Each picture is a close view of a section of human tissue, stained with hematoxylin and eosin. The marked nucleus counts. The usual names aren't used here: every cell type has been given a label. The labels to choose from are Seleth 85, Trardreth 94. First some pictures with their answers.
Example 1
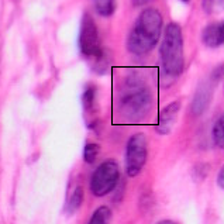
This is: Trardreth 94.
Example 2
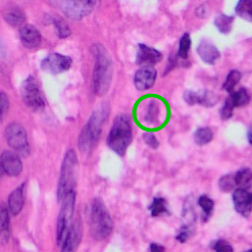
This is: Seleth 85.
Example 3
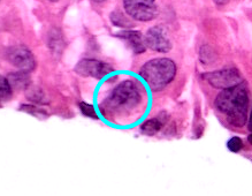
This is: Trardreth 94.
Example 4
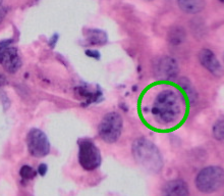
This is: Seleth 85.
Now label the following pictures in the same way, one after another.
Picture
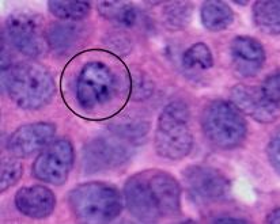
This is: Seleth 85.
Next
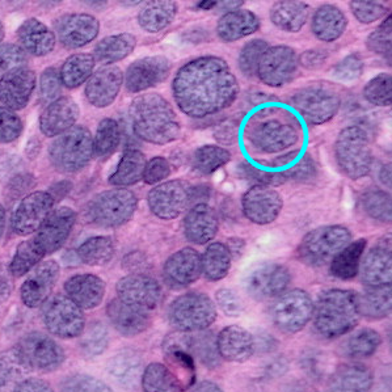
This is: Trardreth 94.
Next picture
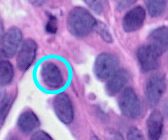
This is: Trardreth 94.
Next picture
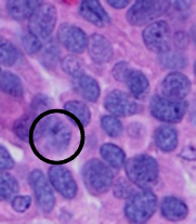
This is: Trardreth 94.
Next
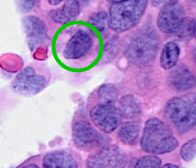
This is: Trardreth 94.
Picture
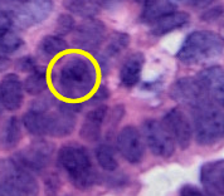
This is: Trardreth 94.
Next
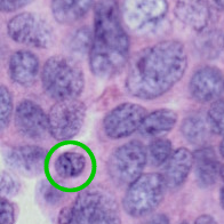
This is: Seleth 85.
